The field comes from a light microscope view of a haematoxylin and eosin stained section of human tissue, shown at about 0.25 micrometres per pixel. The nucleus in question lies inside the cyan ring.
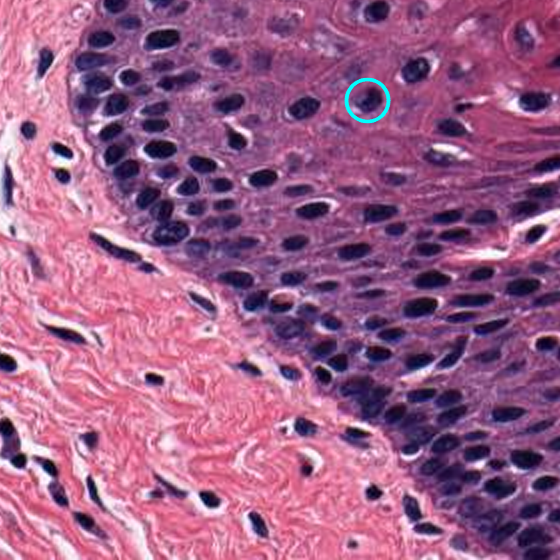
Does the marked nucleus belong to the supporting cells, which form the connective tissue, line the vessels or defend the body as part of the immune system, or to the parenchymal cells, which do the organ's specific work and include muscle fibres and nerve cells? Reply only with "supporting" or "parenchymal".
parenchymal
